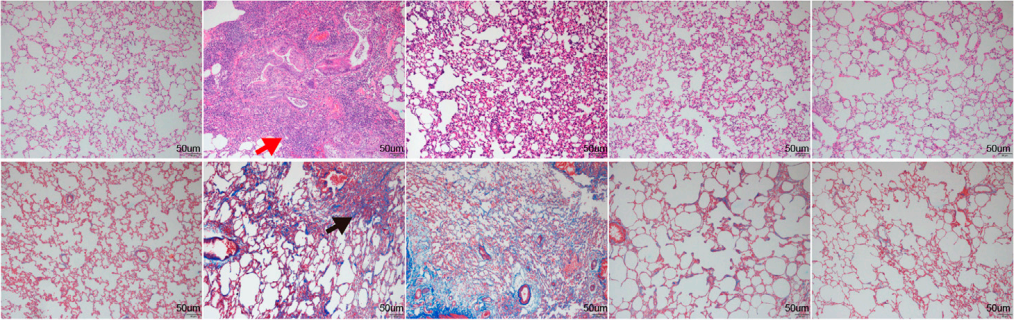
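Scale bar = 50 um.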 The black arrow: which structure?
Collagen fibers.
